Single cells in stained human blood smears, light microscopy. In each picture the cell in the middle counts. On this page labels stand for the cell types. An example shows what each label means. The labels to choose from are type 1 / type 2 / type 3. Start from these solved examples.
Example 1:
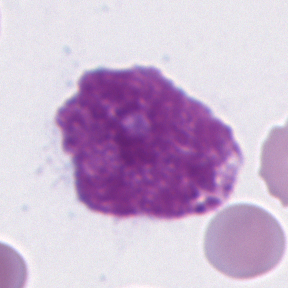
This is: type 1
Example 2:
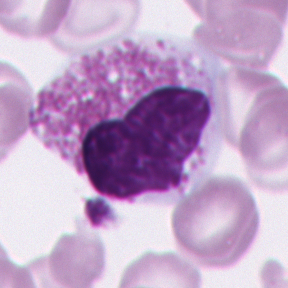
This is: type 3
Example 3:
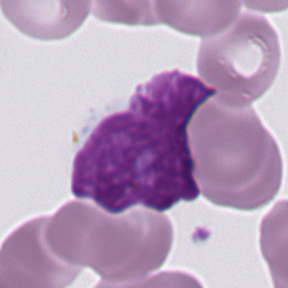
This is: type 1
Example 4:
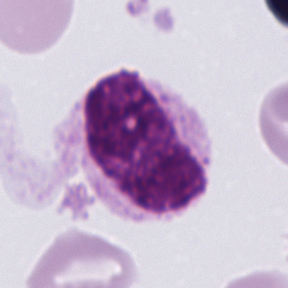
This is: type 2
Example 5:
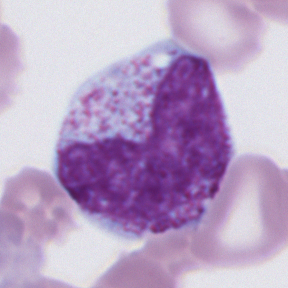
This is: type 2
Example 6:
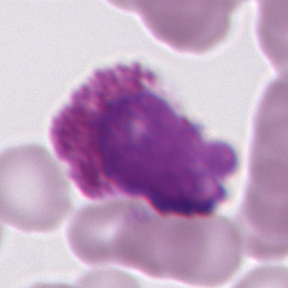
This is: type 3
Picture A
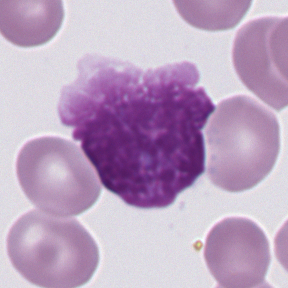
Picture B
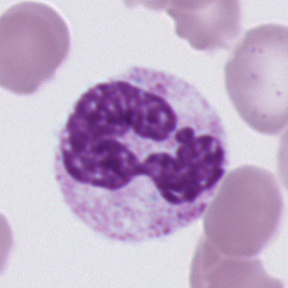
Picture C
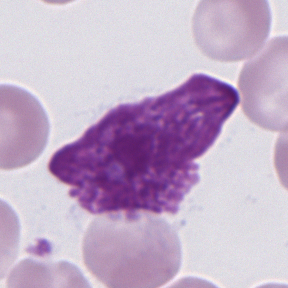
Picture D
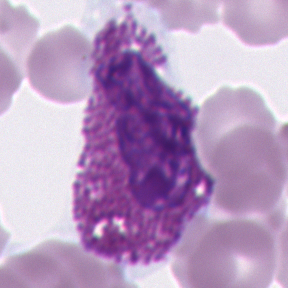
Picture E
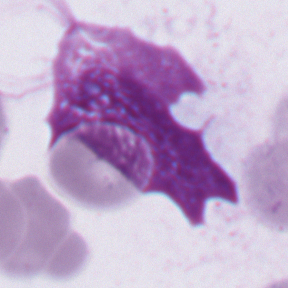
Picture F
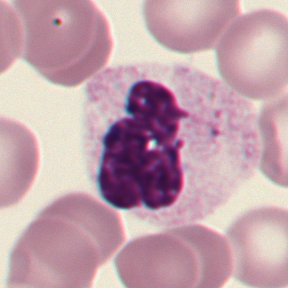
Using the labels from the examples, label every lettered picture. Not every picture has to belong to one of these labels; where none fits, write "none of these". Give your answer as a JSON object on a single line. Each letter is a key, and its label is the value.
{"A": "type 1", "B": "none of these", "C": "type 1", "D": "type 3", "E": "type 1", "F": "none of these"}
